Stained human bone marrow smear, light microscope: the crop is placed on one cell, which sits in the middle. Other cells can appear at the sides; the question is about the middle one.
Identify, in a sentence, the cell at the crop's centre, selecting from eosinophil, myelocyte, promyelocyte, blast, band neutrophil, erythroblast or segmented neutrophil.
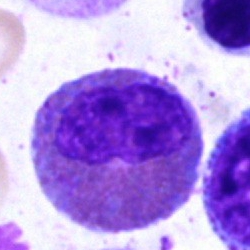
The target cell in the middle of the crop is an eosinophil.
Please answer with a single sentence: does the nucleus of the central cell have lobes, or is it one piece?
The cell carries one compact nucleus shaped round, oval or like a kidney.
